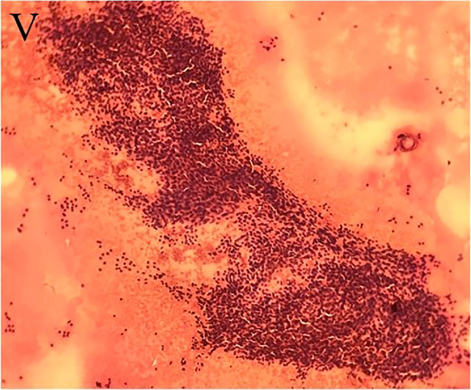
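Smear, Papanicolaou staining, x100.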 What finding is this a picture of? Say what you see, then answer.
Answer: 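A large elongated cluster of densely packed dark nuclei. Nuclei lie on top of one another so that individual outlines are hard to separate.
Nuclear crowding and overlapping.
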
